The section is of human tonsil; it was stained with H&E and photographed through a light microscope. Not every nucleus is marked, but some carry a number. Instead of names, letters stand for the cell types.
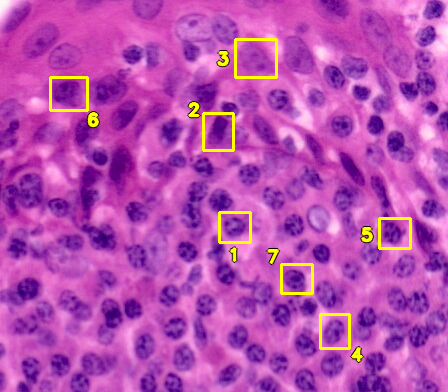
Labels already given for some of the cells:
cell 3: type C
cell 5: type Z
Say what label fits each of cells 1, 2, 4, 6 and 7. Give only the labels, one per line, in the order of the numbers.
type Z
type C
type Z
type C
type Z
